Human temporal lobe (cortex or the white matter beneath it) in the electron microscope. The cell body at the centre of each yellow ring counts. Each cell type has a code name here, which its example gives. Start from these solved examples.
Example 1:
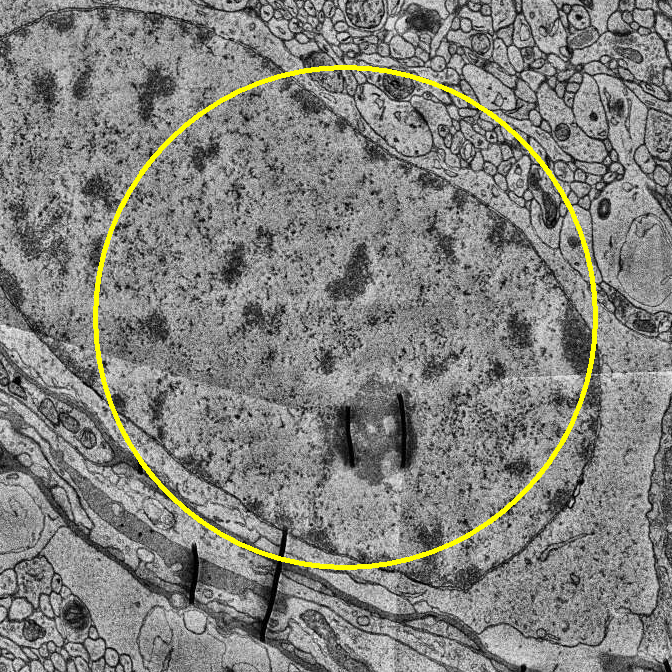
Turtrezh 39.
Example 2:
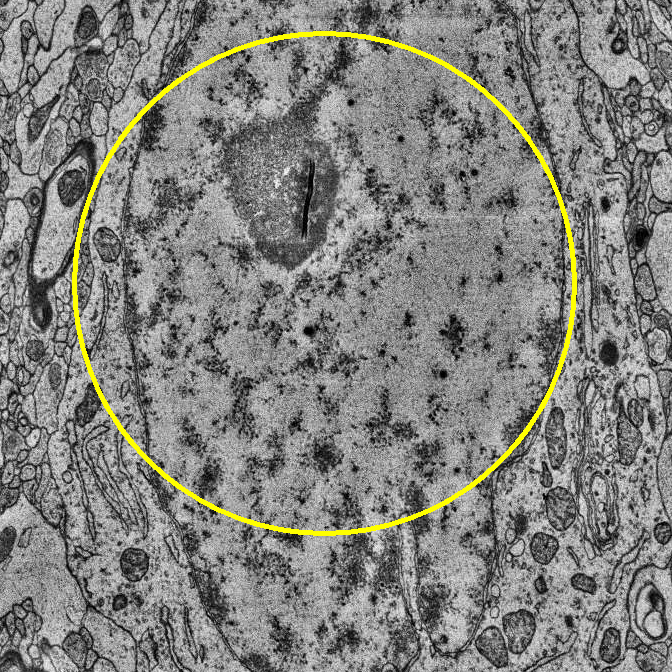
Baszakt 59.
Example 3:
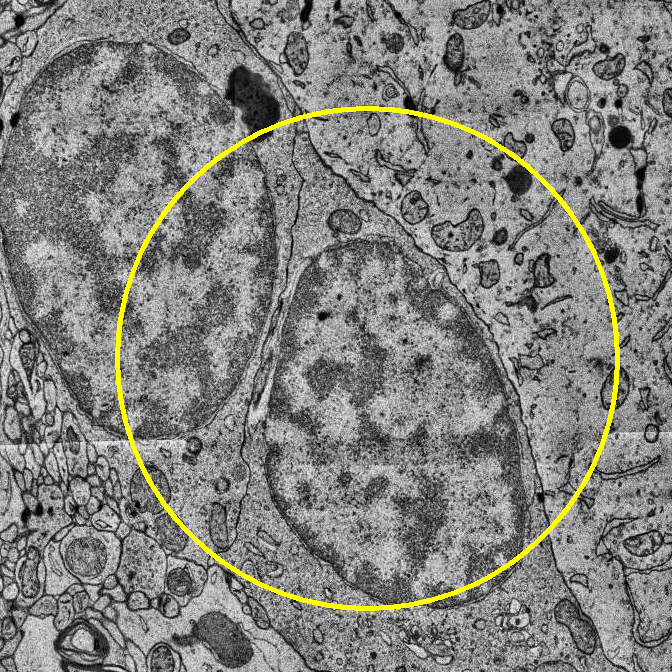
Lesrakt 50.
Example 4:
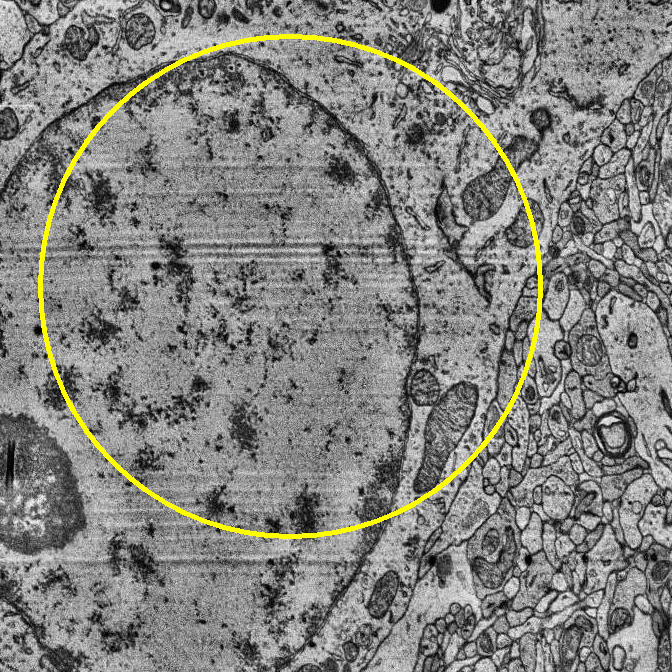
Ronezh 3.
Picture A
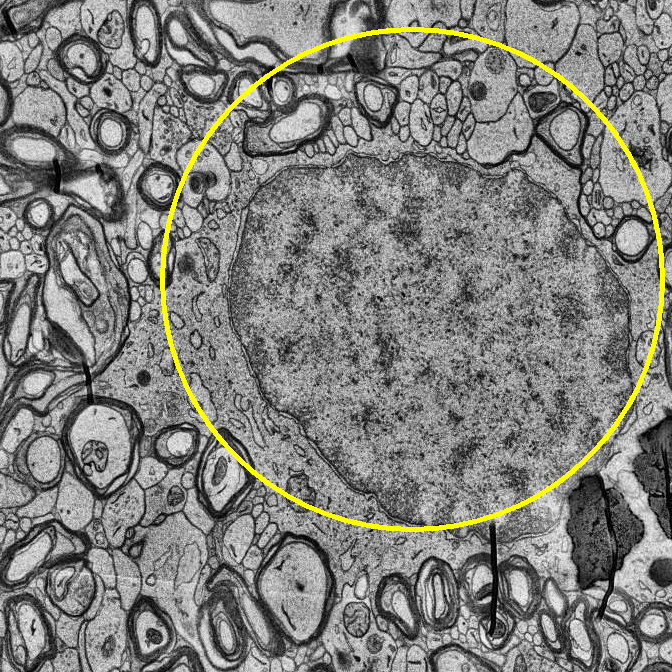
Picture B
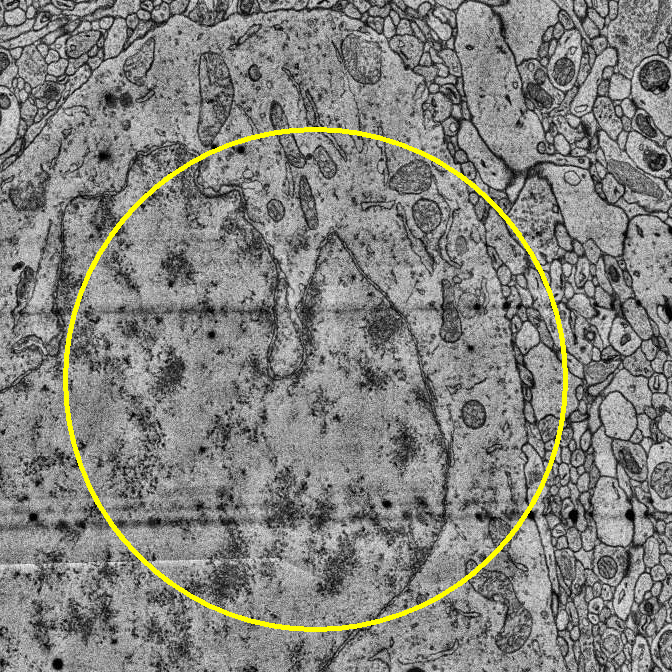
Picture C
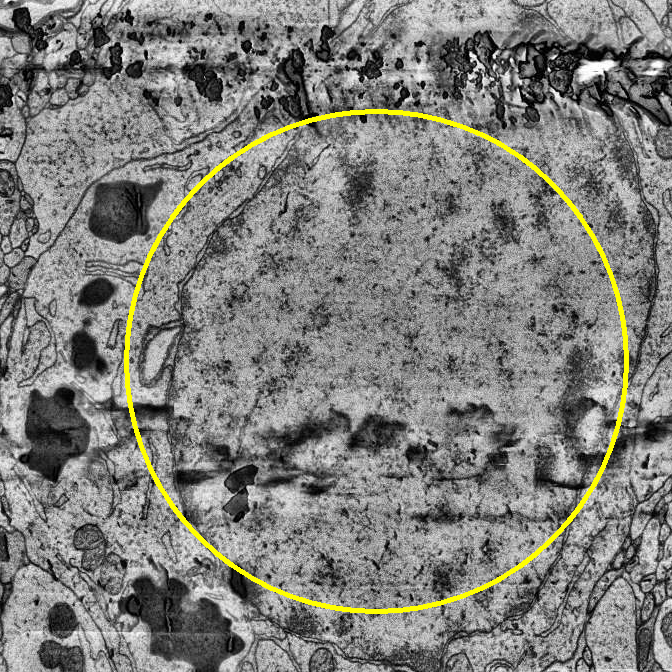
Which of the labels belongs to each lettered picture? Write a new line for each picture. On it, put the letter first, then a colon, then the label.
A: Lesrakt 50.
B: Baszakt 59.
C: Baszakt 59.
